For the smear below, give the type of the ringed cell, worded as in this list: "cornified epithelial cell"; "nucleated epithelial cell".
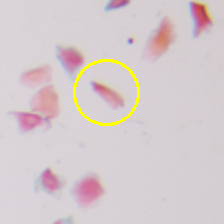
cornified epithelial cell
